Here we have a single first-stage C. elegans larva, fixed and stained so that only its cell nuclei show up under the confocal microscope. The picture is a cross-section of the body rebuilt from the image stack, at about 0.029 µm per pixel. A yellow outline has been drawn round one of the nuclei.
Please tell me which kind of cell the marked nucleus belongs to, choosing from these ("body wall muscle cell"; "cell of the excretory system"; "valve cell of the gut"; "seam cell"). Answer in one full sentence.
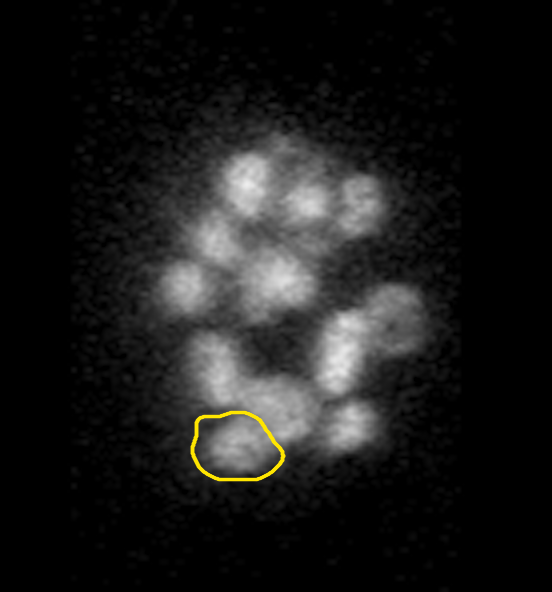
The marked nucleus is that of a body wall muscle cell.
